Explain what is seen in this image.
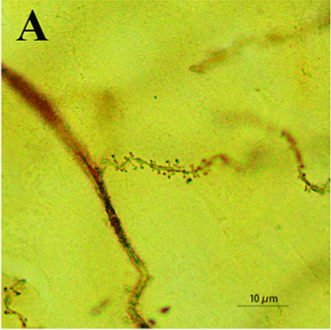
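A thick dark shaft runs down from the upper left, and a thin branch extends from it toward the right. This thin branch carries small dark knobs along its length, which are dendritic spines. Other, fainter and out-of-focus processes lie in the background.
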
